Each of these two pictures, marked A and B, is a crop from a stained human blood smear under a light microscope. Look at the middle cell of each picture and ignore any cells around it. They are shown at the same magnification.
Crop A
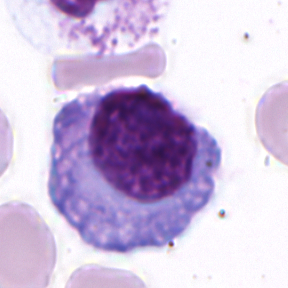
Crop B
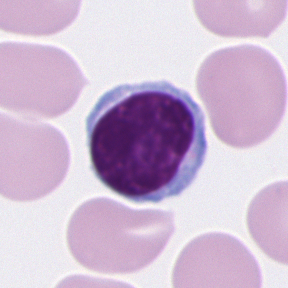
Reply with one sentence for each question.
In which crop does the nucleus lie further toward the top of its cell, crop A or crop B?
The nucleus in crop A lies further toward the top of its cell.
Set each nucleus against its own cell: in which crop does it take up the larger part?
Of the two, the nucleus in crop B makes up the greater part of its cell.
